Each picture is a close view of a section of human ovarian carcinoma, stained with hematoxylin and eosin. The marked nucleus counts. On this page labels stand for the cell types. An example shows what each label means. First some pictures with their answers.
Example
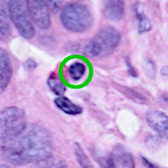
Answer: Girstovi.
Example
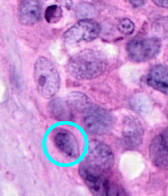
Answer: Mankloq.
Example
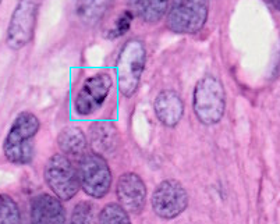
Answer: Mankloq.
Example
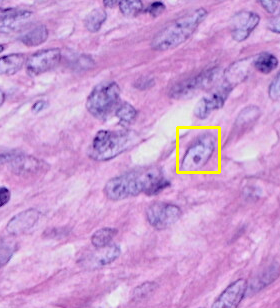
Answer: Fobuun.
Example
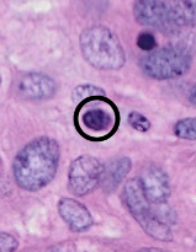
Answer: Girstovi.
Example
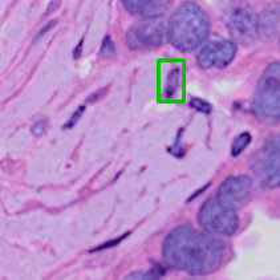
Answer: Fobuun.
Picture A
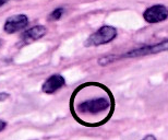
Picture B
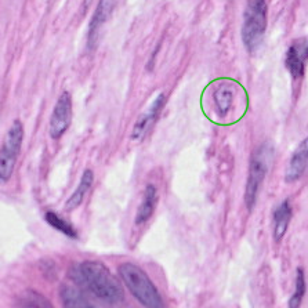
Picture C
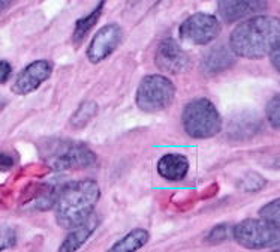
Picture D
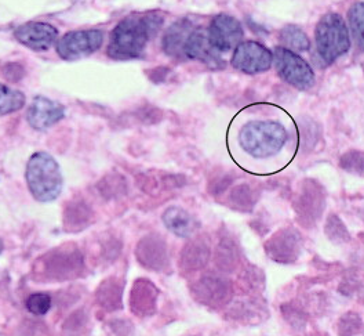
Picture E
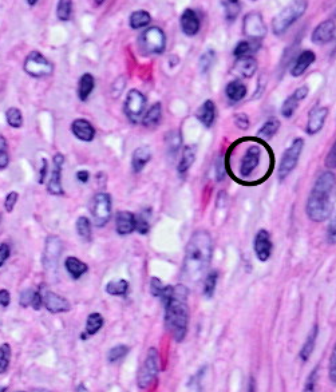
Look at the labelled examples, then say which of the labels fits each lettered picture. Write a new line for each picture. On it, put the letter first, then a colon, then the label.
A: Girstovi.
B: Fobuun.
C: Girstovi.
D: Mankloq.
E: Girstovi.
